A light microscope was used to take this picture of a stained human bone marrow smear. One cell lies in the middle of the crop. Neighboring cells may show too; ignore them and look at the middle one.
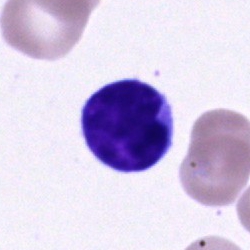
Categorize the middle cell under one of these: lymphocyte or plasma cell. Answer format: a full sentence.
The cell shown in the center of this light-microscope crop is a lymphocyte.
